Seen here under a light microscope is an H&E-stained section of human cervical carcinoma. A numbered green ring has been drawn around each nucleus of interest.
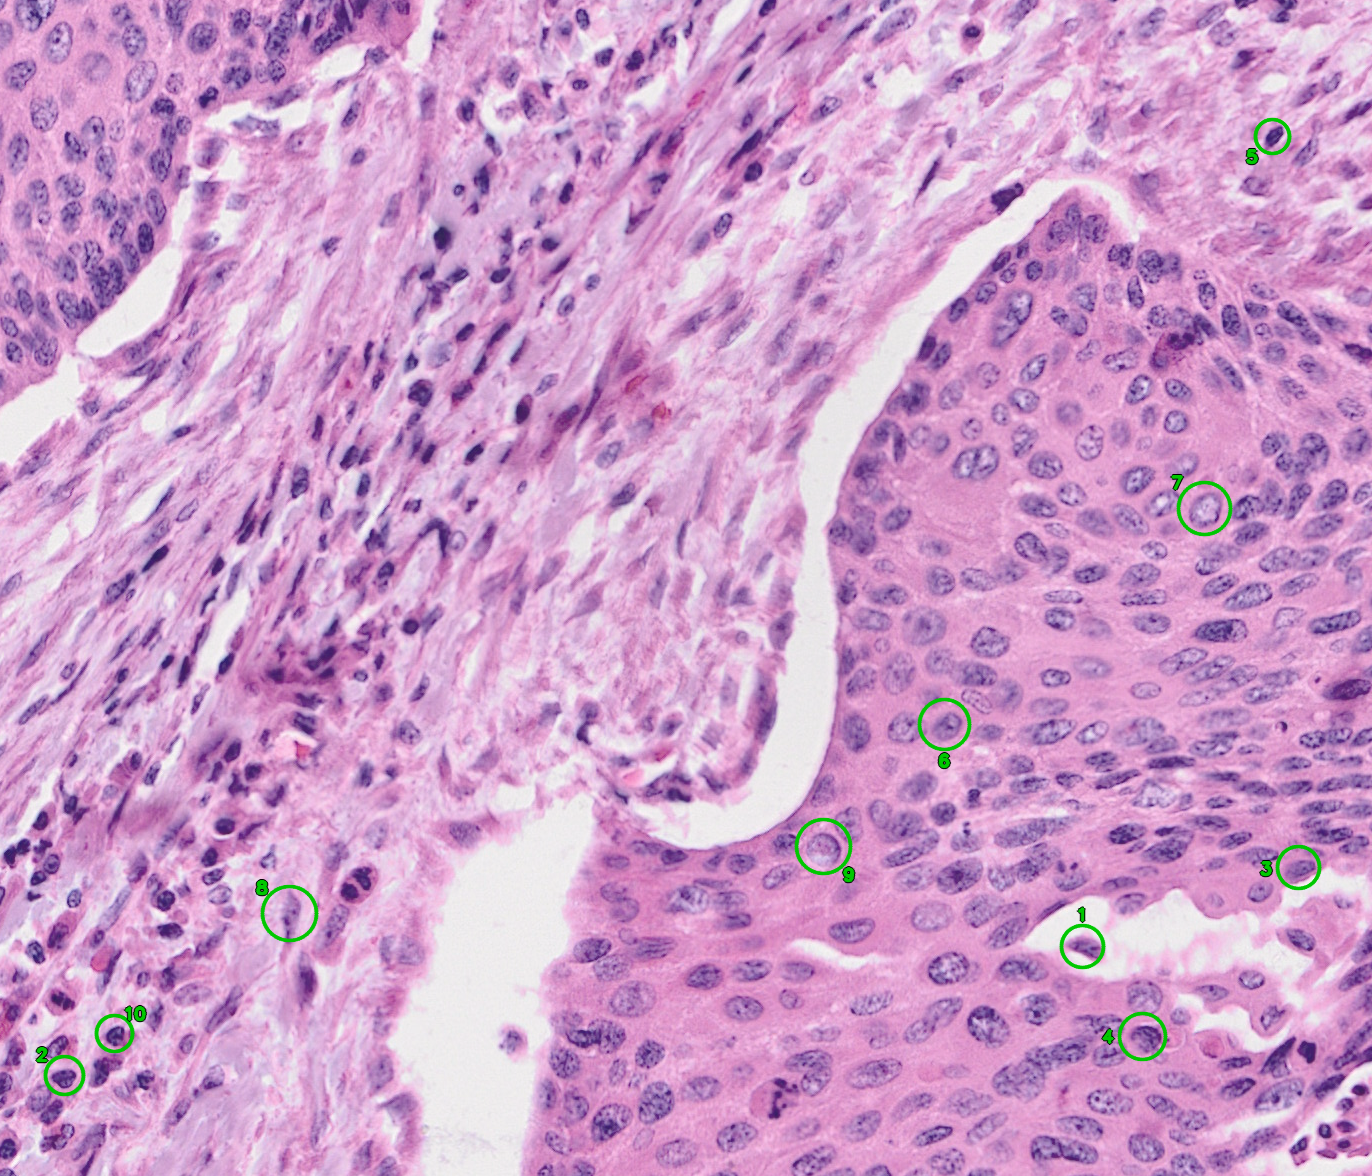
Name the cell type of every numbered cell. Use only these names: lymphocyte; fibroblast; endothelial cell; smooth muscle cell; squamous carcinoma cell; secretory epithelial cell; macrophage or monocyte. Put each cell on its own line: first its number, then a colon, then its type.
1: squamous carcinoma cell
2: lymphocyte
3: squamous carcinoma cell
4: squamous carcinoma cell
5: lymphocyte
6: squamous carcinoma cell
7: squamous carcinoma cell
8: fibroblast
9: squamous carcinoma cell
10: lymphocyte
